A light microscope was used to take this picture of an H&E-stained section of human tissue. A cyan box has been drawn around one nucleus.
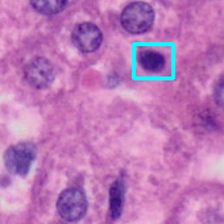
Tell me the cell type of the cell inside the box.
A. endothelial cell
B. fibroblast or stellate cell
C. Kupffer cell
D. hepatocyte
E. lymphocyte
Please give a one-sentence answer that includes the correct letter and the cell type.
The choice that fits is option E, as the cell inside the box is a lymphocyte.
